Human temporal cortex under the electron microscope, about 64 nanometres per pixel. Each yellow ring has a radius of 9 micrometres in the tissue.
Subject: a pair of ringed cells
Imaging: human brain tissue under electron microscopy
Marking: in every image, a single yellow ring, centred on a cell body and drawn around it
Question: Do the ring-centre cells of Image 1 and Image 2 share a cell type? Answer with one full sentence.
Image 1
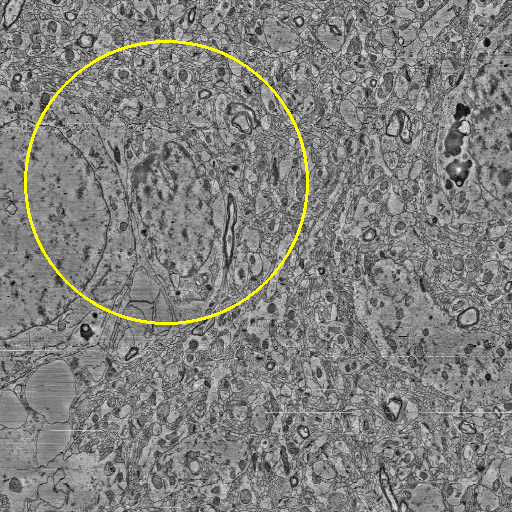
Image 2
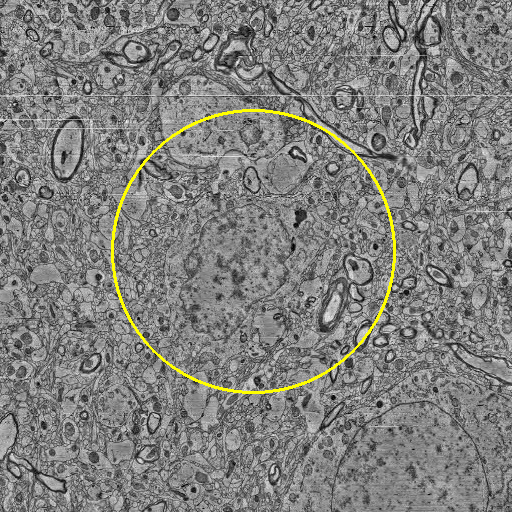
Yes, at each ring's centre in the images sits a cell of one common type.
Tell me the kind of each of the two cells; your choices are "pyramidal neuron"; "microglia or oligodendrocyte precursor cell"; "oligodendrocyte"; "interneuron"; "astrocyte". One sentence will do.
Each of the two rings is centred on an interneuron.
